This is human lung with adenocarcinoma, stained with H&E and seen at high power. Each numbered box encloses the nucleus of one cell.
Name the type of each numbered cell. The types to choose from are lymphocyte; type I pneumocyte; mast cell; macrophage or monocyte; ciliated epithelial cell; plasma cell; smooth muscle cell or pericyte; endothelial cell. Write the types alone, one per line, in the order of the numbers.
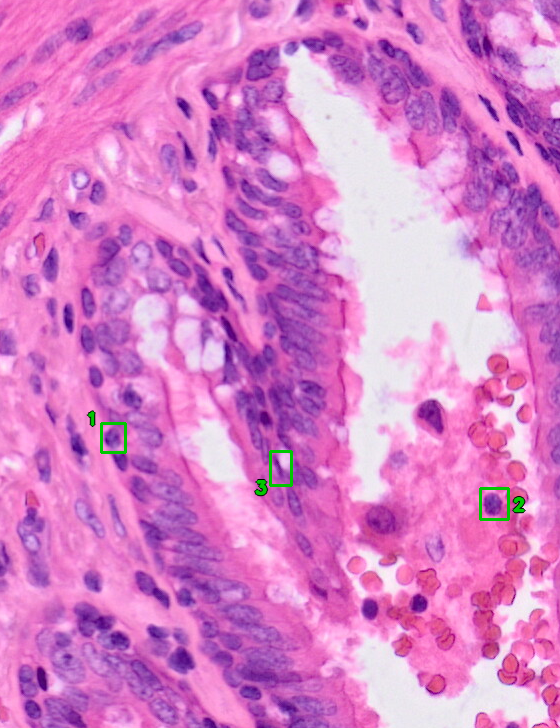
lymphocyte
lymphocyte
ciliated epithelial cell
